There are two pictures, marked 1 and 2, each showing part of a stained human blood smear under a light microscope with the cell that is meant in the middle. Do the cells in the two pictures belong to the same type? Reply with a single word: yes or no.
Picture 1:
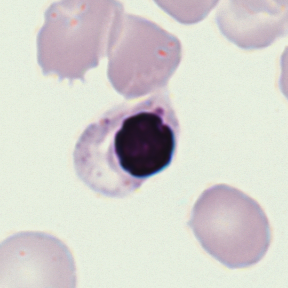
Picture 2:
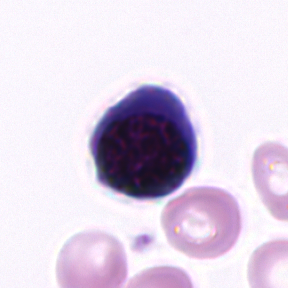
yes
